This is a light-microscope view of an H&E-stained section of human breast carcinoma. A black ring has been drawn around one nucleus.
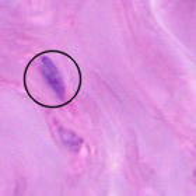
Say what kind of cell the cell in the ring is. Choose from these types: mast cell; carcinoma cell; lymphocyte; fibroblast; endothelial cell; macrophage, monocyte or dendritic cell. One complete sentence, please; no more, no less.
Cell type answer for this item: the cell in the ring is a fibroblast.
